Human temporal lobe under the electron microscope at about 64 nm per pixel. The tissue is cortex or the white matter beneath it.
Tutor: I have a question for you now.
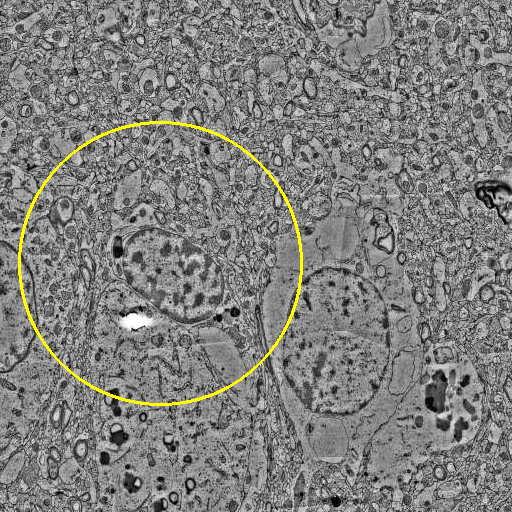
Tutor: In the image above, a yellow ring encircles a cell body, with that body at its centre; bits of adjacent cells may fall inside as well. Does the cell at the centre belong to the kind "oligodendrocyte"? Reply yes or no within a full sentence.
No, the centred cell inside the ring belongs to another kind.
